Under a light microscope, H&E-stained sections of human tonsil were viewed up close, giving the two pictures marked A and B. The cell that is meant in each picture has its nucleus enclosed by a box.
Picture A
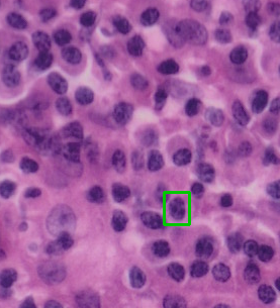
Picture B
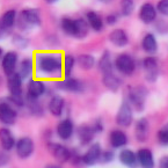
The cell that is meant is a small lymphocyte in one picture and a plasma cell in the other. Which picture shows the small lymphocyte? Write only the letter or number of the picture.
B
